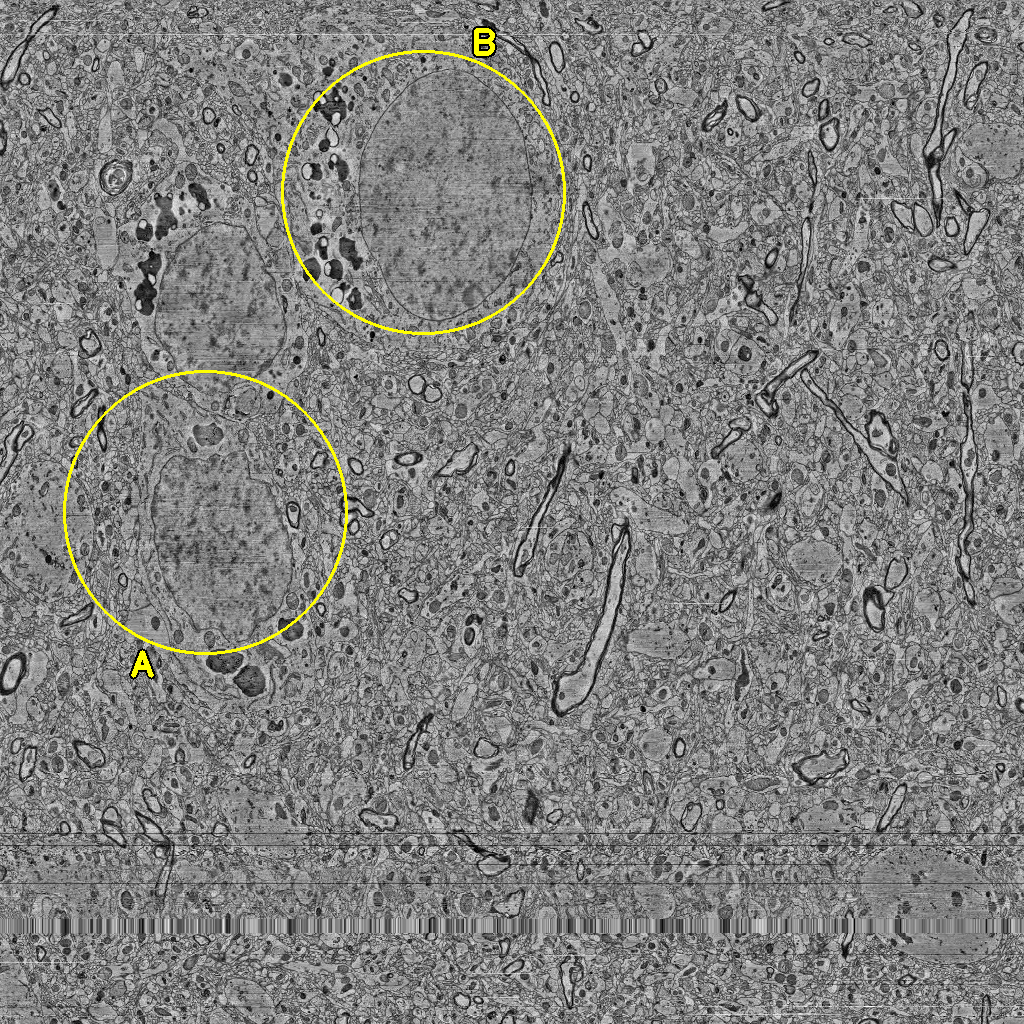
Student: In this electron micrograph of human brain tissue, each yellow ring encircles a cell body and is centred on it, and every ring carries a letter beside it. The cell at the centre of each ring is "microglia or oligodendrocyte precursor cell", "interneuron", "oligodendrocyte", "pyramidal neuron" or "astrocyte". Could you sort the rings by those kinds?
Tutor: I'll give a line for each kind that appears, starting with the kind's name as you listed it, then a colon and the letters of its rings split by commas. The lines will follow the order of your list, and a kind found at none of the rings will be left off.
interneuron: A
pyramidal neuron: B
